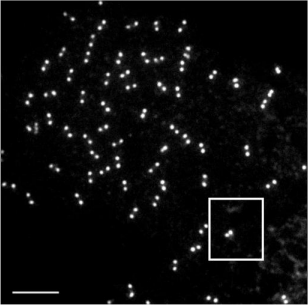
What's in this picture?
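The points mostly come in close pairs, one pair per chromosome, matching the centromeres of the two sister chromatids, with little signal elsewhere. The boxed area shows one such tight pair.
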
